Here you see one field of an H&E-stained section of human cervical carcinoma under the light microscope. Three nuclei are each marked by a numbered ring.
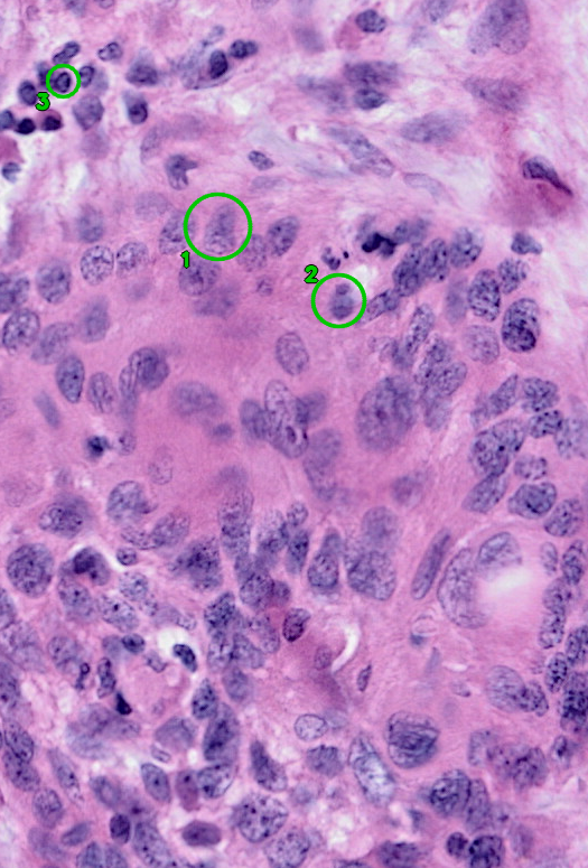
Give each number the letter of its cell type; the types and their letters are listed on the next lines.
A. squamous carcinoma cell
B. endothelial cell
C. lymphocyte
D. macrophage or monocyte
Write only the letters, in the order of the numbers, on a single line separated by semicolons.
A; A; C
